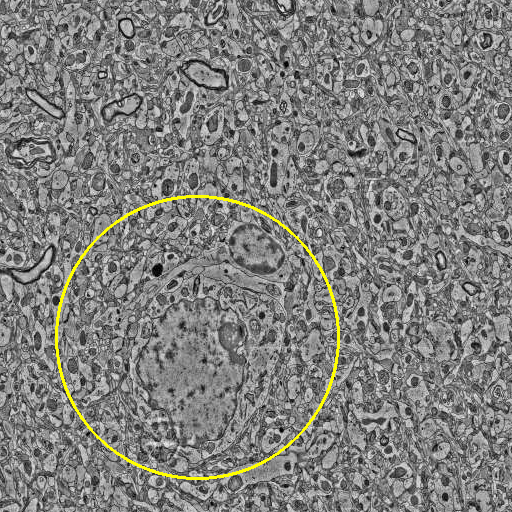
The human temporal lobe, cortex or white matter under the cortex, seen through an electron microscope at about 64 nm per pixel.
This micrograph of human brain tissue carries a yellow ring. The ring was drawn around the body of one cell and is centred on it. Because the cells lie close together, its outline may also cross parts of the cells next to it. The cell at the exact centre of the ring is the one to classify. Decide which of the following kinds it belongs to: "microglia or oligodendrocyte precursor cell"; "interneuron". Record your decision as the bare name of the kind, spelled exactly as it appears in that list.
interneuron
